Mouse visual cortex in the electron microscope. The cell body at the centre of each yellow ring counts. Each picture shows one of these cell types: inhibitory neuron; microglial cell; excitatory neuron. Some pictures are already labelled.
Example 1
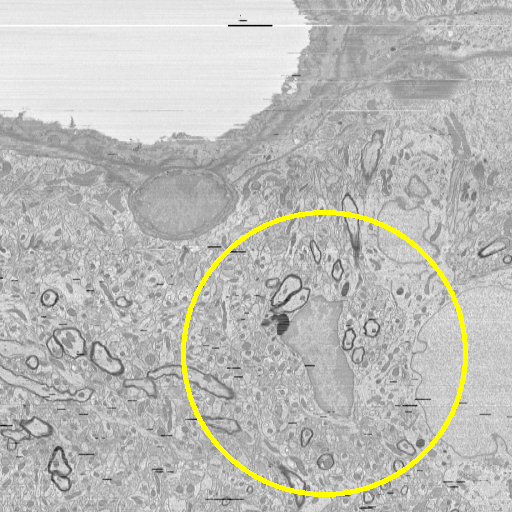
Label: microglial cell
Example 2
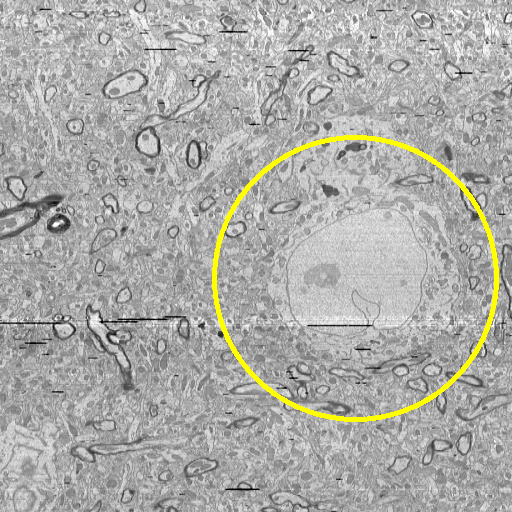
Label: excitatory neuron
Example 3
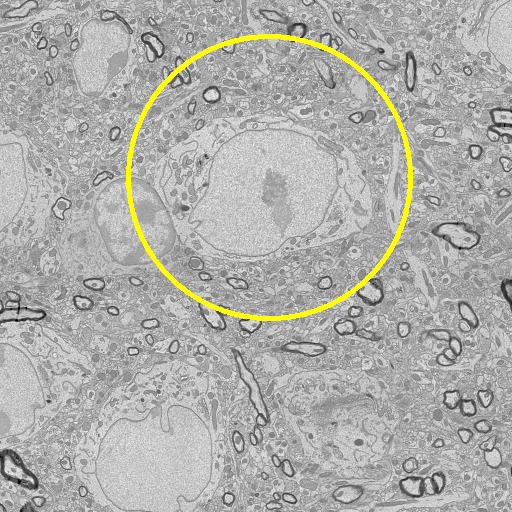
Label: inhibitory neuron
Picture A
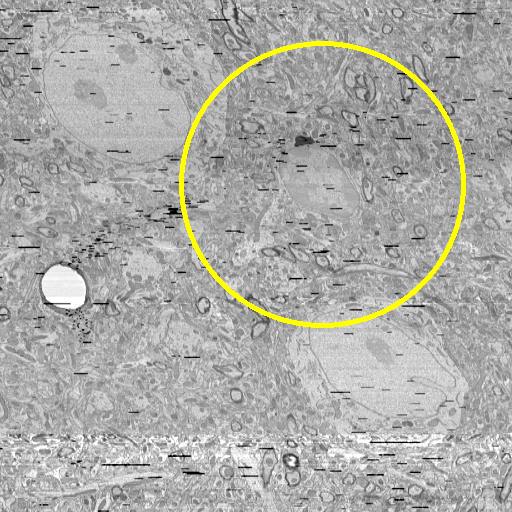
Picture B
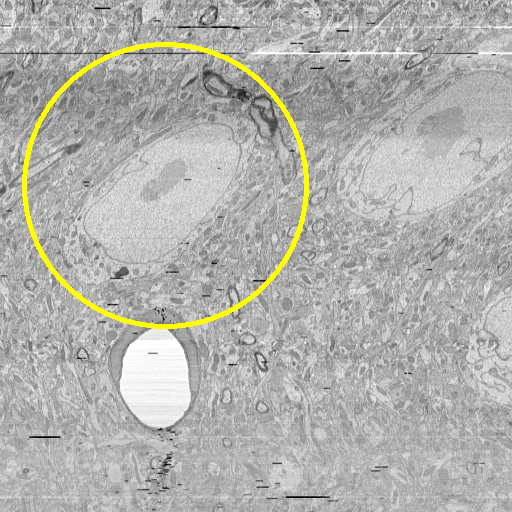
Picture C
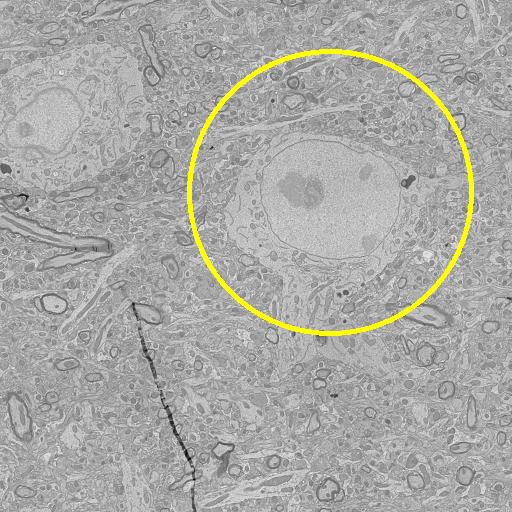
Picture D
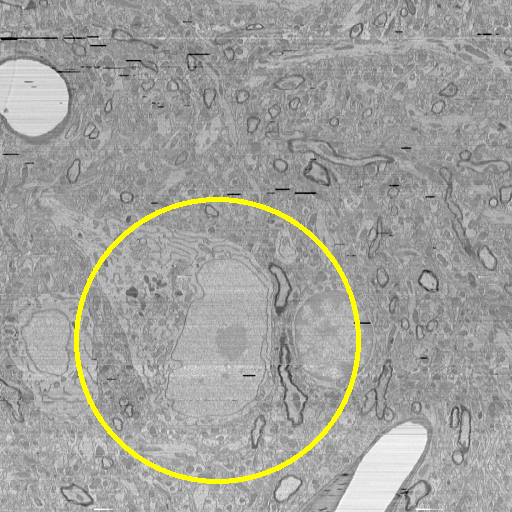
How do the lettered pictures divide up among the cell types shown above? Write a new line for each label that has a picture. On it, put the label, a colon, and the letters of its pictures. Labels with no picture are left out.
inhibitory neuron: D
microglial cell: A
excitatory neuron: B, C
